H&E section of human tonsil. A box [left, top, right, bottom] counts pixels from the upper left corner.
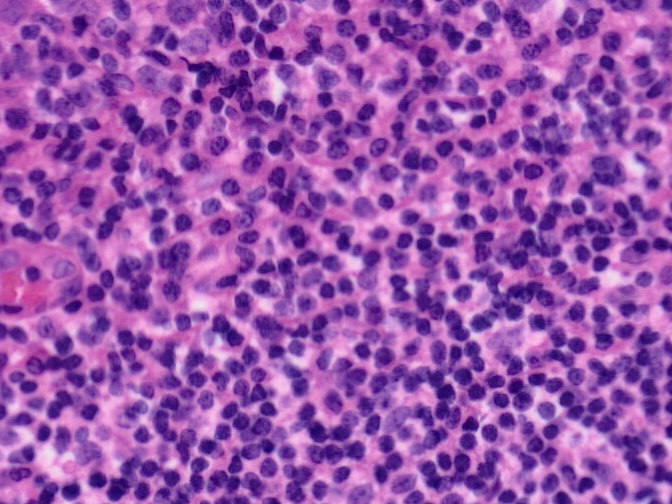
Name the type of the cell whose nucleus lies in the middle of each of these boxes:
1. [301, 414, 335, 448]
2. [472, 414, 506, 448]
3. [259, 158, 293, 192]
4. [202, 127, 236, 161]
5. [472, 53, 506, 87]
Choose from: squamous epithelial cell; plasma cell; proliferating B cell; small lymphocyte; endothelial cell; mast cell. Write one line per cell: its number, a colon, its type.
1: small lymphocyte
2: small lymphocyte
3: plasma cell
4: plasma cell
5: plasma cell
